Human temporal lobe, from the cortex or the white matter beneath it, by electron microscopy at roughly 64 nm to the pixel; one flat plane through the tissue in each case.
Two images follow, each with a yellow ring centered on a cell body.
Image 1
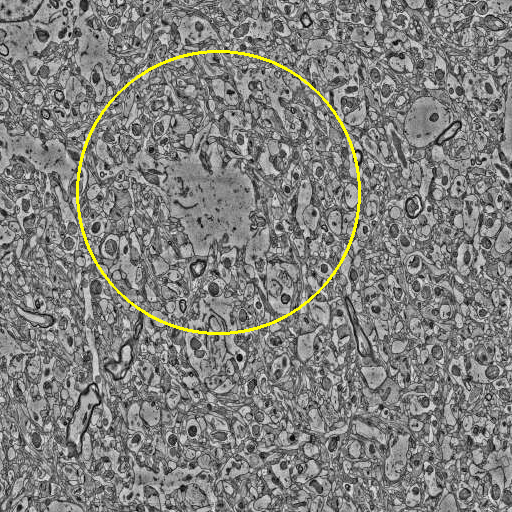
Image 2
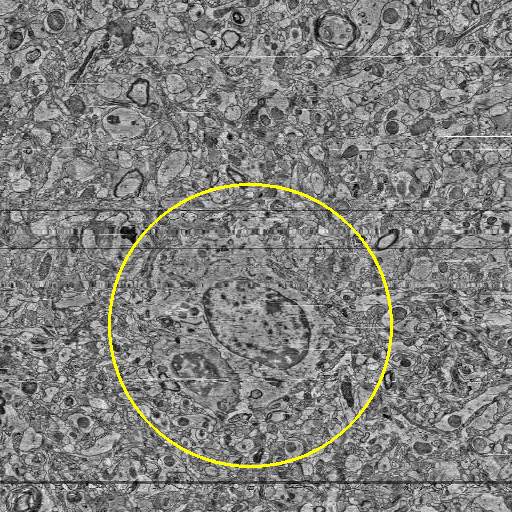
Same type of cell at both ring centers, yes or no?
yes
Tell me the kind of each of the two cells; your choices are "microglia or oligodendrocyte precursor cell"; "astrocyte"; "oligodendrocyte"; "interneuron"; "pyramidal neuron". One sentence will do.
Each one of the two ringed cells is an astrocyte.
